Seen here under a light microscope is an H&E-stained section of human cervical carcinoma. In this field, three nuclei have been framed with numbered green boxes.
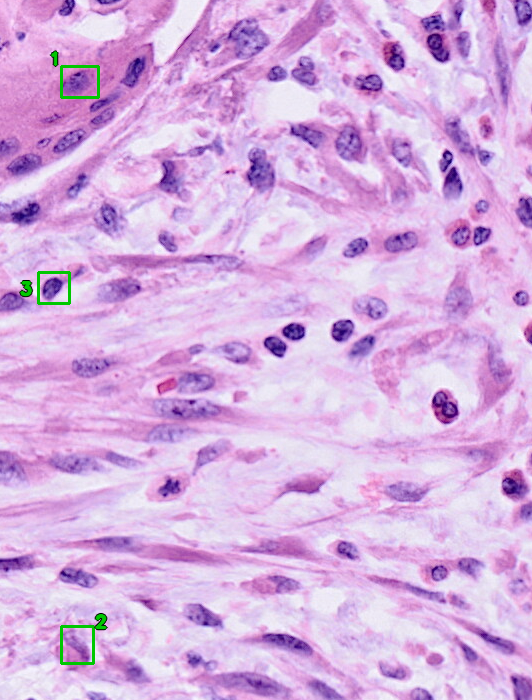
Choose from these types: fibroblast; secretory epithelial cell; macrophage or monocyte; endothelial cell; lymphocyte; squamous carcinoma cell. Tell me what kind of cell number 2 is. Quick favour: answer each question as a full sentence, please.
The mark numbered 2 indicates the nucleus of a fibroblast.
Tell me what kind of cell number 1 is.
The numbered cell 1 is identified here as a squamous carcinoma cell.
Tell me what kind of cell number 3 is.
Number 3 is placed on a lymphocyte here.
